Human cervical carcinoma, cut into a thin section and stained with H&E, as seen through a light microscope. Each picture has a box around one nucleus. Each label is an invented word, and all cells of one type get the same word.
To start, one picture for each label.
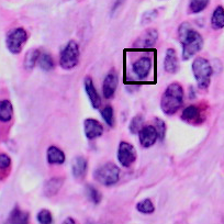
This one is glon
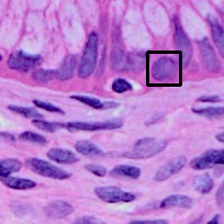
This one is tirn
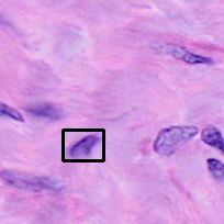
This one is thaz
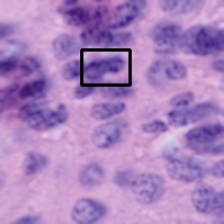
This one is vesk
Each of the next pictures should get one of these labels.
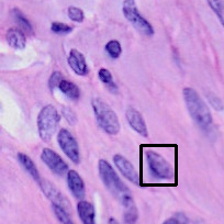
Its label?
thaz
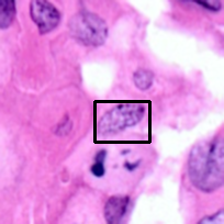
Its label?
vesk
